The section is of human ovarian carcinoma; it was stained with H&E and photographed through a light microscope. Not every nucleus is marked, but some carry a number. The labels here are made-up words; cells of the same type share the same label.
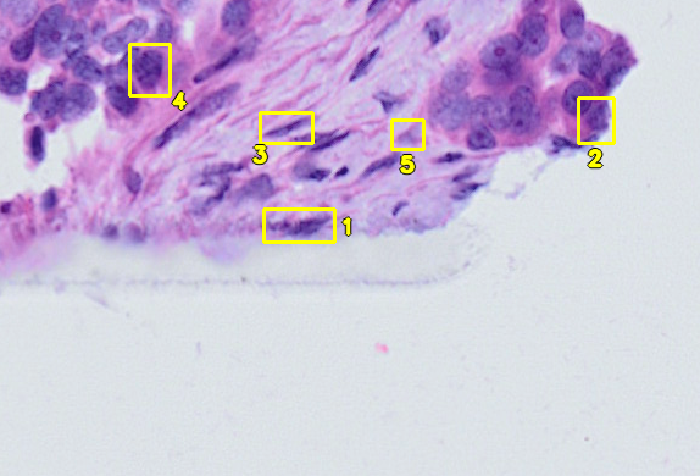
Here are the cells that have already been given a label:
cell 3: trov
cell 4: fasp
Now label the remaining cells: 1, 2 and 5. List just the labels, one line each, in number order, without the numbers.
trov
fasp
trov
